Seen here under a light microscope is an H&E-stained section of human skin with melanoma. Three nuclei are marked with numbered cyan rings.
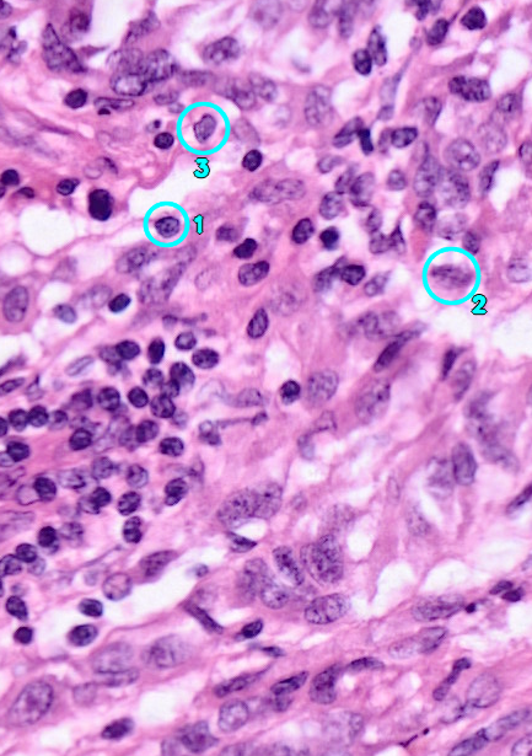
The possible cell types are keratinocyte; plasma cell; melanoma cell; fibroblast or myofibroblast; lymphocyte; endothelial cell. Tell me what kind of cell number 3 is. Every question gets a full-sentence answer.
The cell numbered 3 has been identified as a lymphocyte.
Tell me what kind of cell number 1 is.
The nucleus marked 1 is the nucleus of a lymphocyte.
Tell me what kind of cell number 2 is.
Looking at the numbered marks, cell 2 is a melanoma cell.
